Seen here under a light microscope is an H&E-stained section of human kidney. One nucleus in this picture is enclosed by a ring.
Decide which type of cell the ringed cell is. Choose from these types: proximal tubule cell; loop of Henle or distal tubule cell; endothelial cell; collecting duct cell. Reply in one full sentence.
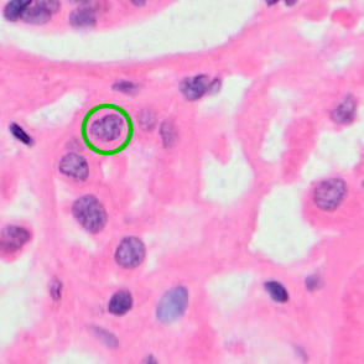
To be brief about it, the ringed cell is a collecting duct cell.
